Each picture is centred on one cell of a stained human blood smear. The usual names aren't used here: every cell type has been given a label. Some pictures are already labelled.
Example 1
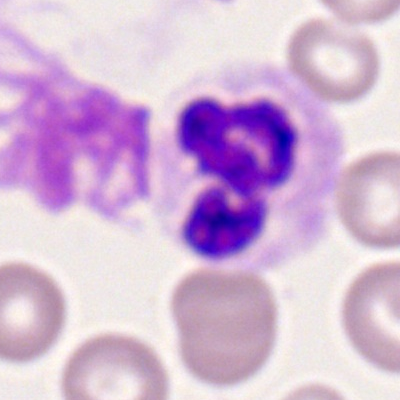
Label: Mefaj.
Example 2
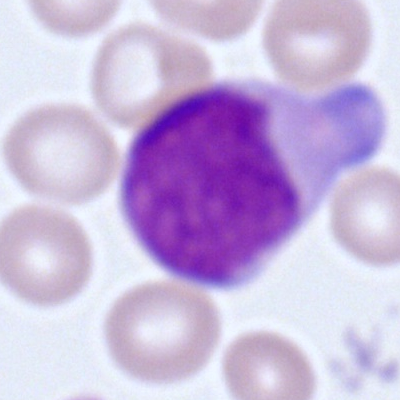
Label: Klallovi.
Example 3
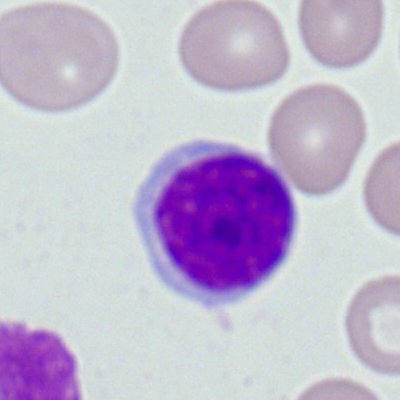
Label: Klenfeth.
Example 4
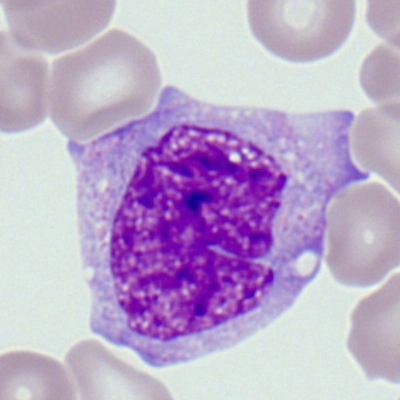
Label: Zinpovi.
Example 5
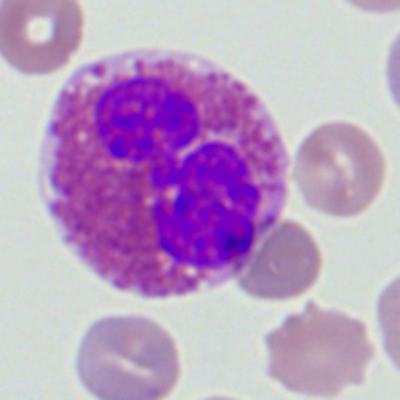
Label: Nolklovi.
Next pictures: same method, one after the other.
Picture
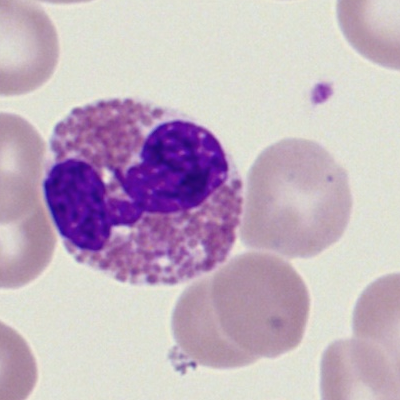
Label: Nolklovi.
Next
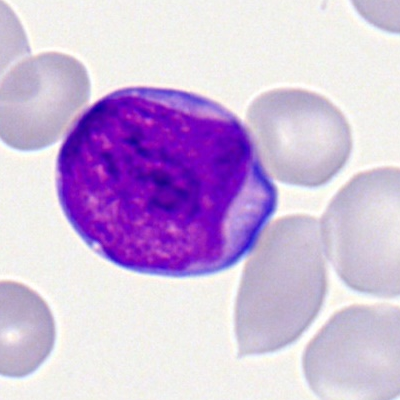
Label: Klallovi.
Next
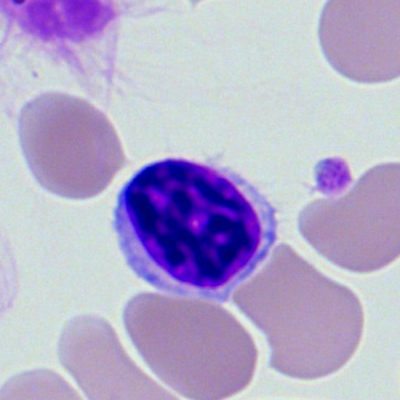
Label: Klenfeth.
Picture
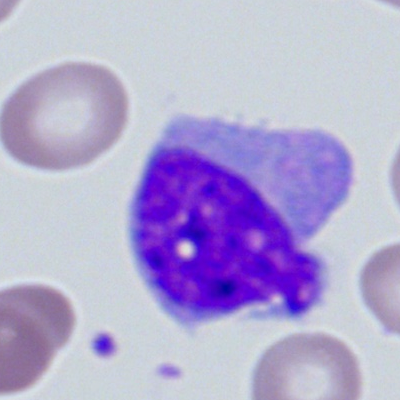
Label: Zinpovi.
